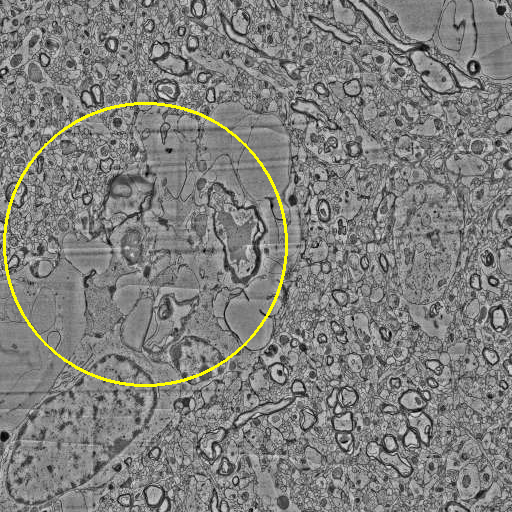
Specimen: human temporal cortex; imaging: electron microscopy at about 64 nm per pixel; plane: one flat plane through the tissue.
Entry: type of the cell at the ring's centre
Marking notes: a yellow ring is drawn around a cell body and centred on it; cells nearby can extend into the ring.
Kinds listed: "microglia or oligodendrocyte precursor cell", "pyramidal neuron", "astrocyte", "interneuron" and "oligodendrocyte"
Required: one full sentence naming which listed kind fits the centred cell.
My entry names an oligodendrocyte as the cell whose body the yellow ring centres on.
